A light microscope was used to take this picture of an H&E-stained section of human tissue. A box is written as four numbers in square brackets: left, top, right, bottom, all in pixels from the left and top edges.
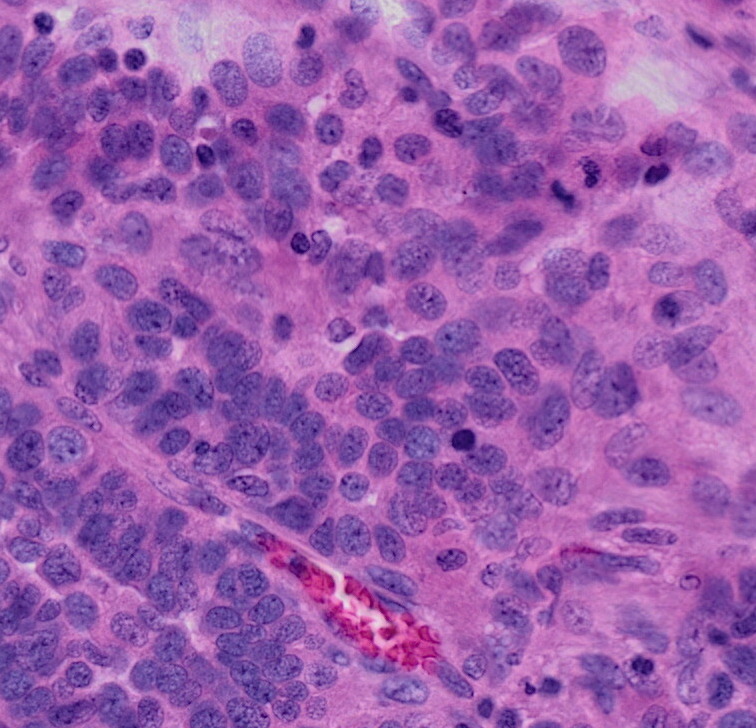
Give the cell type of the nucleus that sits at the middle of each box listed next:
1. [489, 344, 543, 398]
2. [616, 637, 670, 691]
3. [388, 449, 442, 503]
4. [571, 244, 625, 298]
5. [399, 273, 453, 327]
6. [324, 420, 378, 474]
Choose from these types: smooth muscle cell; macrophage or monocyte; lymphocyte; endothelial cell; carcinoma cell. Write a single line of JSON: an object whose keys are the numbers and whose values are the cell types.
{"1": "carcinoma cell", "2": "lymphocyte", "3": "carcinoma cell", "4": "macrophage or monocyte", "5": "carcinoma cell", "6": "carcinoma cell"}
